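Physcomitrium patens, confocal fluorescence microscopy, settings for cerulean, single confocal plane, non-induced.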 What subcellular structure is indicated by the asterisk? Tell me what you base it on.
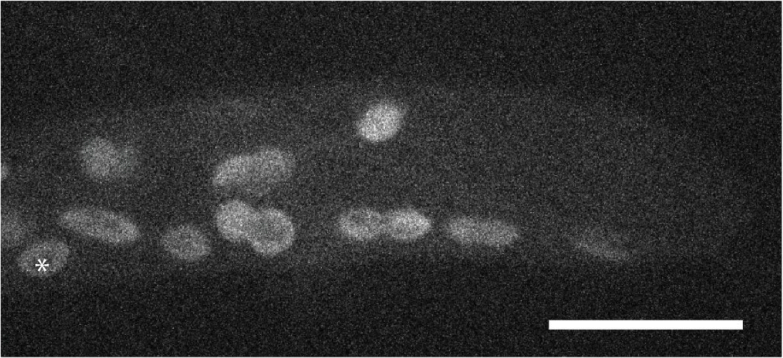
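The asterisk marks a small oval bright body among many similar ones. On this evidence: chloroplasts.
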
